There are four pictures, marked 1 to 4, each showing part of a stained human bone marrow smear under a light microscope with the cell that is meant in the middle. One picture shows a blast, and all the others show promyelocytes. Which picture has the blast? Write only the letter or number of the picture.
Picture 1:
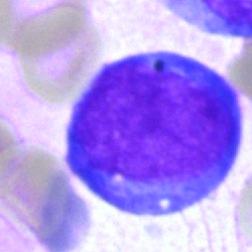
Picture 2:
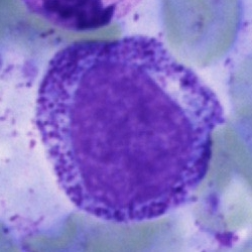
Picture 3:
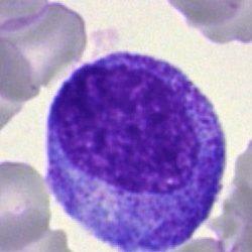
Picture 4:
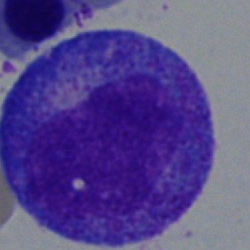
1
